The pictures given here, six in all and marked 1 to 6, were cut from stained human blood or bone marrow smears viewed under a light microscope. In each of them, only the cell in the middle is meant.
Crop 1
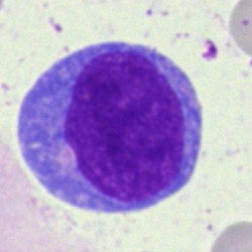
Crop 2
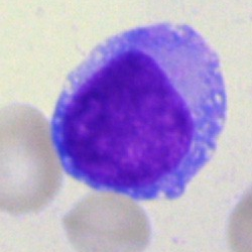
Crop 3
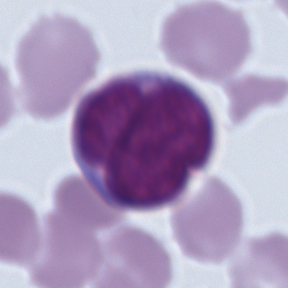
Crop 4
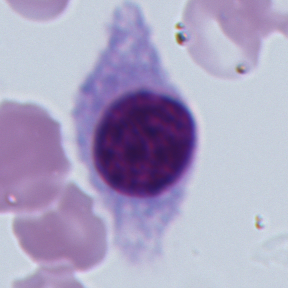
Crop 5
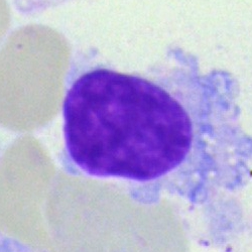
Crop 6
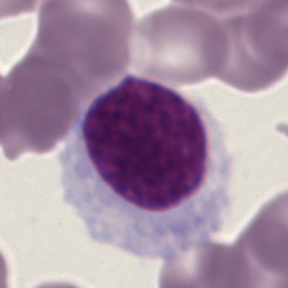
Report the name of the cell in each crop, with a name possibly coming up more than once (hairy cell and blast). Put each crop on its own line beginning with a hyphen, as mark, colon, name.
- 1: blast
- 2: blast
- 3: blast
- 4: hairy cell
- 5: hairy cell
- 6: hairy cell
